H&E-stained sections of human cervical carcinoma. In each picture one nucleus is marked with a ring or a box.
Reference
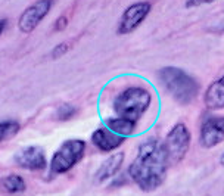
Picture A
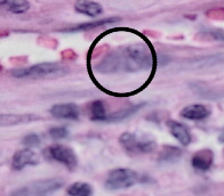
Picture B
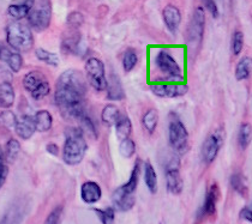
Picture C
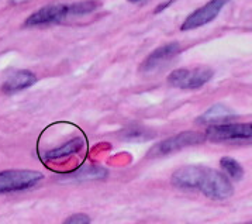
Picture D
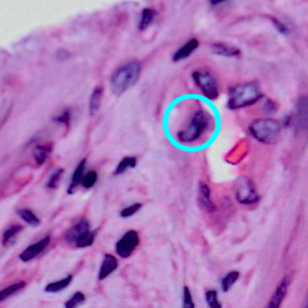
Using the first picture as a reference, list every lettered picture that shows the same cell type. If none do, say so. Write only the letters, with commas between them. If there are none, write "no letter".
A, C, D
